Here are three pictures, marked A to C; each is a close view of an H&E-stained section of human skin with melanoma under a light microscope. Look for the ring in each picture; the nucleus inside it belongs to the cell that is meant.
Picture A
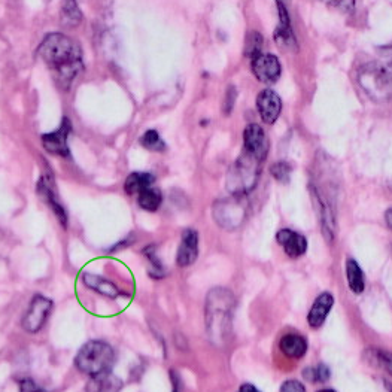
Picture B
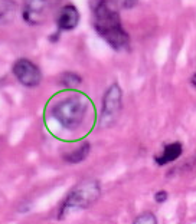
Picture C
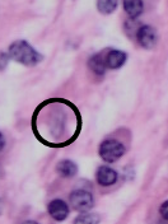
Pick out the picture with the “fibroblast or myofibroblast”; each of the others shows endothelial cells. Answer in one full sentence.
Picture C shows the “fibroblast or myofibroblast”.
